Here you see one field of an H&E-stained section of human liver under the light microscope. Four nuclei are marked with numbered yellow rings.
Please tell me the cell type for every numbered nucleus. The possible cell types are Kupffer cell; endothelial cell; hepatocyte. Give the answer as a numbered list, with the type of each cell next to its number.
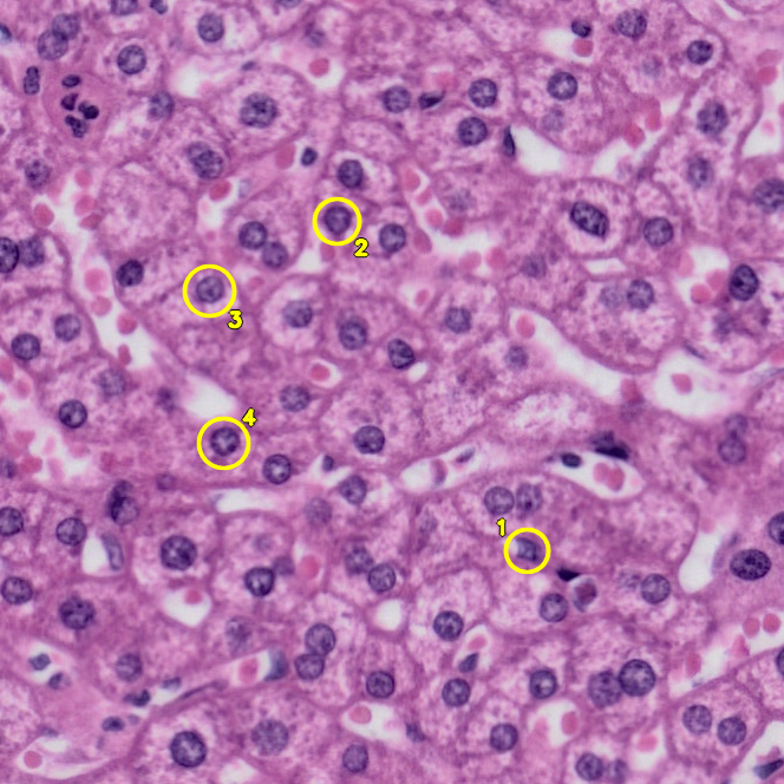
1. endothelial cell
2. hepatocyte
3. hepatocyte
4. hepatocyte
